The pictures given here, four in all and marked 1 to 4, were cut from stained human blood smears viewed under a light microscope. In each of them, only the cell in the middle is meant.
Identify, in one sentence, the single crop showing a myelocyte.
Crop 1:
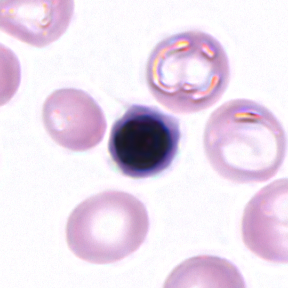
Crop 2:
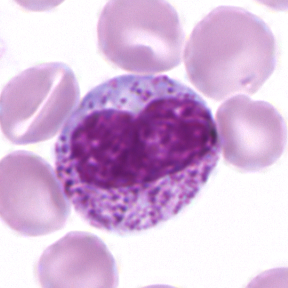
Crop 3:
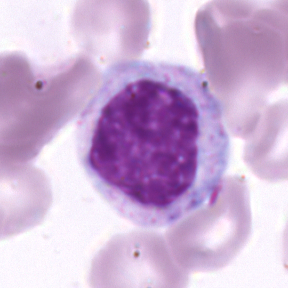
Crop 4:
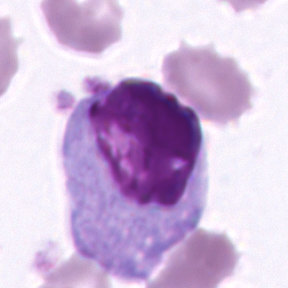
The one crop in the set with a myelocyte is crop 3.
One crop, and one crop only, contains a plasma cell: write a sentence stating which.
The crop marked 4 is the one that shows a plasma cell.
